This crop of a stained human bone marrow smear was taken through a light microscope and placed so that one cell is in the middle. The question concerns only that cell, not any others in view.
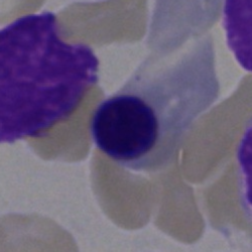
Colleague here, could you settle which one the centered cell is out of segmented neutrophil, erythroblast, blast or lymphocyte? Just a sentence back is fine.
The cell at the middle of the crop is recognized as an erythroblast.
